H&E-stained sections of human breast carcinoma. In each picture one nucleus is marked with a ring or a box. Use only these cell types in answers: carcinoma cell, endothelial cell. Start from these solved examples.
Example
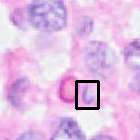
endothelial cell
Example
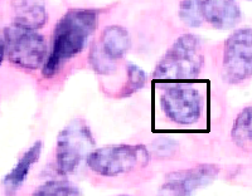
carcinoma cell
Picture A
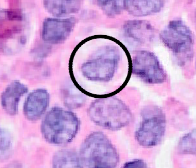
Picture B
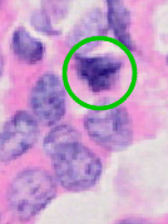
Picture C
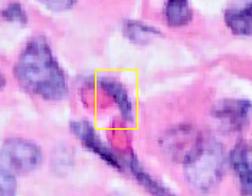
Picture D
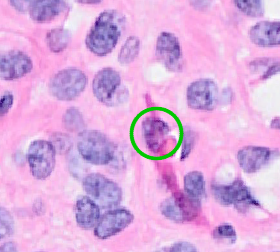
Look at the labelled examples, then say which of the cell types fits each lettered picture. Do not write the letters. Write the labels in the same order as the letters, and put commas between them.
carcinoma cell, carcinoma cell, endothelial cell, endothelial cell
